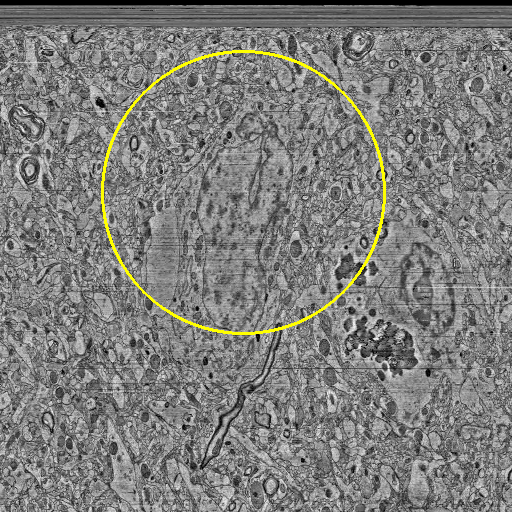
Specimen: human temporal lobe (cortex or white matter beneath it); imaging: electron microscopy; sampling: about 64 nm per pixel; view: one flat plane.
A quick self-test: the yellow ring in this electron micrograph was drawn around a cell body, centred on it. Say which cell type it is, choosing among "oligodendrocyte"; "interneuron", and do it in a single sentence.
The yellow-ringed cell is an interneuron.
